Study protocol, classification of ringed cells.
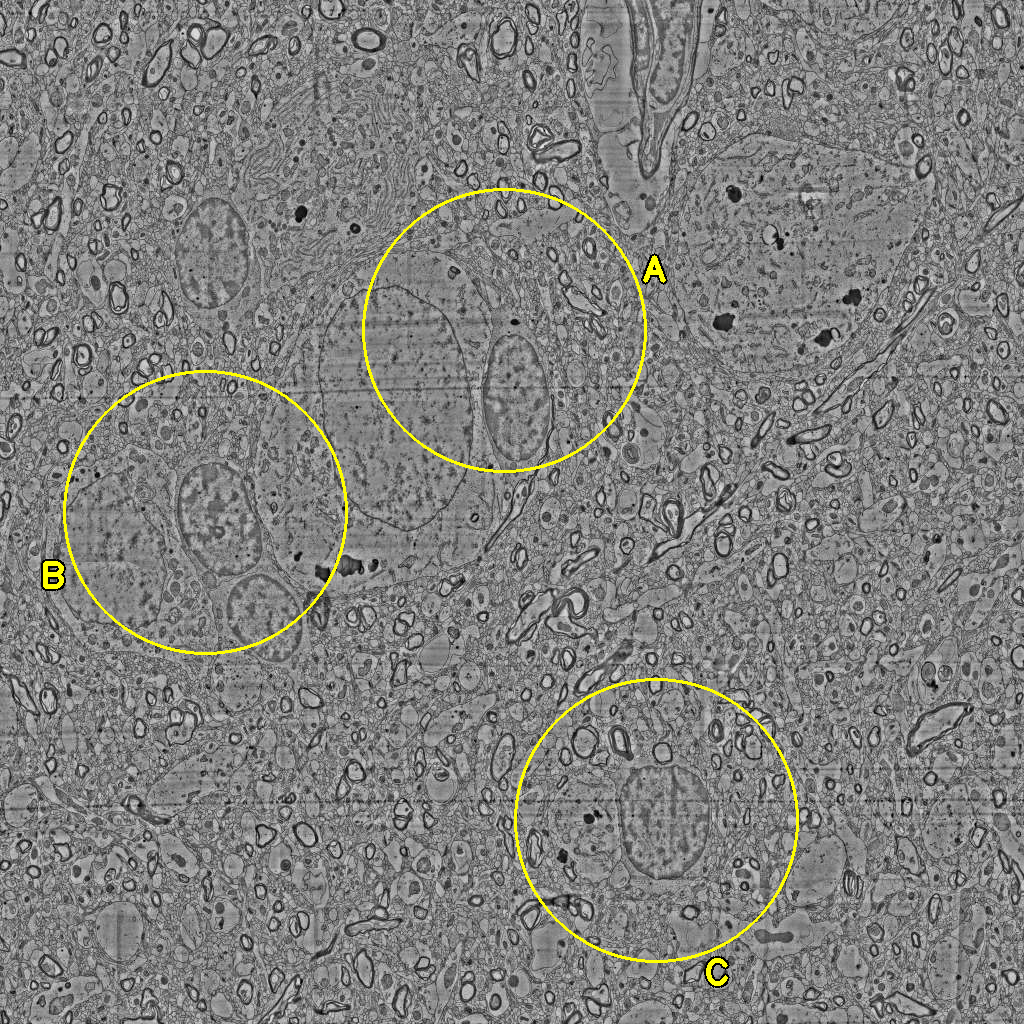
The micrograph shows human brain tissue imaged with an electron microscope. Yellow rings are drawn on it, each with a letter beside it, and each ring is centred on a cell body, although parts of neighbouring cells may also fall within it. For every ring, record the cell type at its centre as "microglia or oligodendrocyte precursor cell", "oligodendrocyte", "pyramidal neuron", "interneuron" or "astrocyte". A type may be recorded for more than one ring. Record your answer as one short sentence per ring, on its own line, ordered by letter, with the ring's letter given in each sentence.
Ring A has been centred on an oligodendrocyte.
Ring B has been centred on an oligodendrocyte.
Ring C has been centred on an oligodendrocyte.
